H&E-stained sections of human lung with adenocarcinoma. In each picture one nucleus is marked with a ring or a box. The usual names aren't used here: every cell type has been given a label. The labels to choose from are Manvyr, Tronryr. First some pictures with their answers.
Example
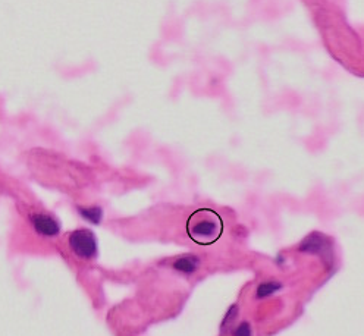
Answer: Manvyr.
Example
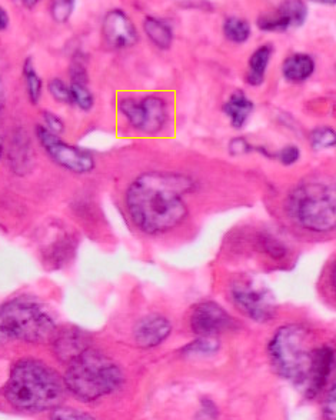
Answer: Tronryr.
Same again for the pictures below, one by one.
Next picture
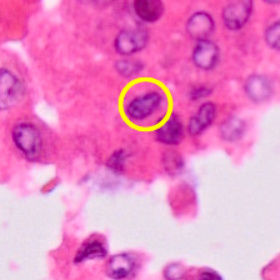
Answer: Tronryr.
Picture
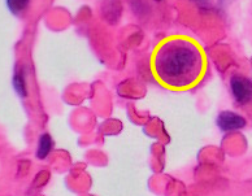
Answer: Tronryr.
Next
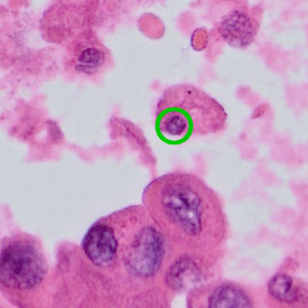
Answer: Tronryr.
